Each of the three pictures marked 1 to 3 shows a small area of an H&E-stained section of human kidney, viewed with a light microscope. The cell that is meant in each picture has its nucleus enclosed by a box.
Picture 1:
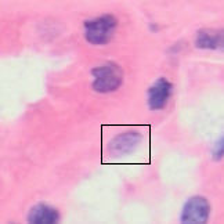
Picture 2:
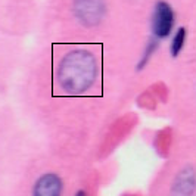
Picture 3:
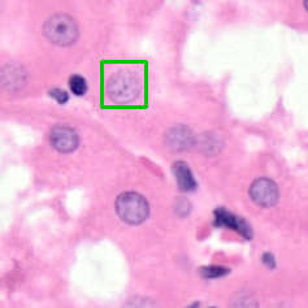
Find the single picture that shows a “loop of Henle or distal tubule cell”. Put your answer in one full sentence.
The cell in picture 1 is the “loop of Henle or distal tubule cell”.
